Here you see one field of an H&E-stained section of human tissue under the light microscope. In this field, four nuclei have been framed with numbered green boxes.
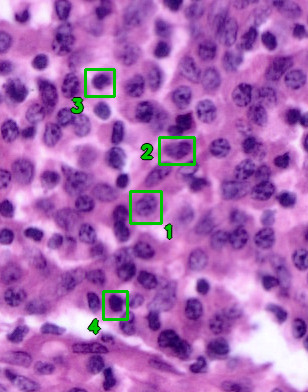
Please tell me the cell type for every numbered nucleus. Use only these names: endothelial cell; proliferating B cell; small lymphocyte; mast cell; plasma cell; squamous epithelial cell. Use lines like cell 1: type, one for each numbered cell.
cell 1: plasma cell
cell 2: squamous epithelial cell
cell 3: plasma cell
cell 4: plasma cell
